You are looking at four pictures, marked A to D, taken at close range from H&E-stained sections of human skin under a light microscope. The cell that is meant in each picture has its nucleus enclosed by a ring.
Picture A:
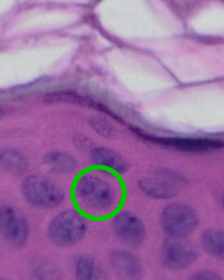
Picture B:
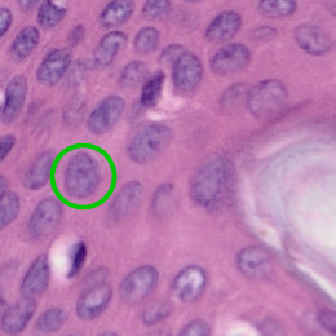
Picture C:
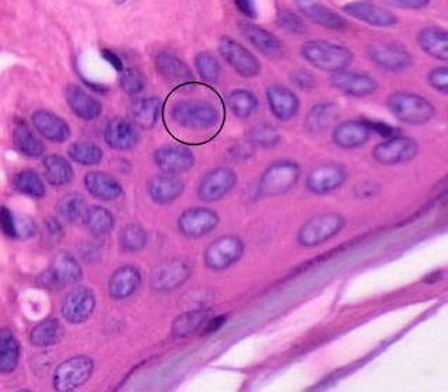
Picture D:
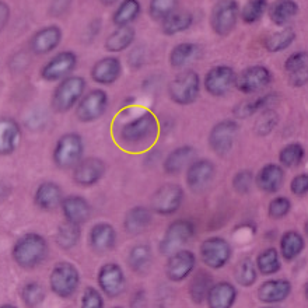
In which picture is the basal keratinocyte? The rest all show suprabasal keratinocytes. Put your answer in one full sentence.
Picture C shows the basal keratinocyte.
